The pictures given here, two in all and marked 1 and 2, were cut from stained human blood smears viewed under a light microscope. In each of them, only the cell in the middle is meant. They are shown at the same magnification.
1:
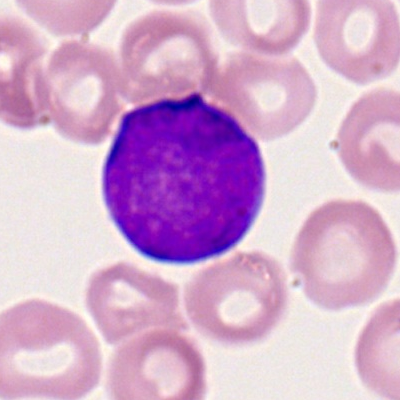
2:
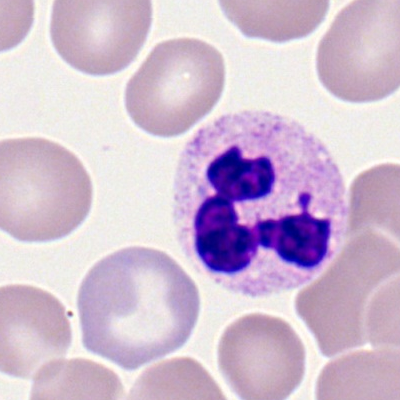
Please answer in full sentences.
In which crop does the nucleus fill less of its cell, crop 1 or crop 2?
The nucleus fills less of the cell in crop 2 than in crop 1.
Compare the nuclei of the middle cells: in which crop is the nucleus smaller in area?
It is the nucleus in crop 2; the one in crop 1 has about 2.5 times its area.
